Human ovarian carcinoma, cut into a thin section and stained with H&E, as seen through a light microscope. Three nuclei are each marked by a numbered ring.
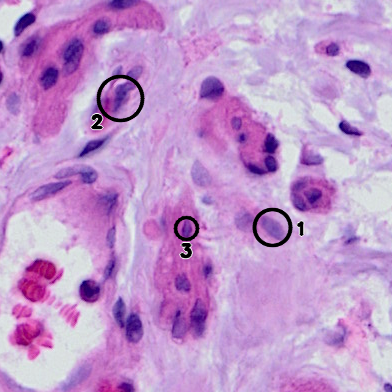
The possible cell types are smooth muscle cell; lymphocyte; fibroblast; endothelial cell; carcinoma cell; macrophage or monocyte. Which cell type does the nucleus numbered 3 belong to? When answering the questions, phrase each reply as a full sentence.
Number 3 among the marked cells is a smooth muscle cell.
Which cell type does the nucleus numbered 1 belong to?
Classified as a smooth muscle cell is the cell with the number 1.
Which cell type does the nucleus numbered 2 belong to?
The cell tagged with 2 in this tissue section is an endothelial cell.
